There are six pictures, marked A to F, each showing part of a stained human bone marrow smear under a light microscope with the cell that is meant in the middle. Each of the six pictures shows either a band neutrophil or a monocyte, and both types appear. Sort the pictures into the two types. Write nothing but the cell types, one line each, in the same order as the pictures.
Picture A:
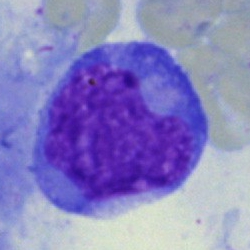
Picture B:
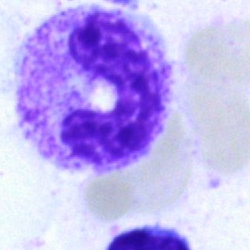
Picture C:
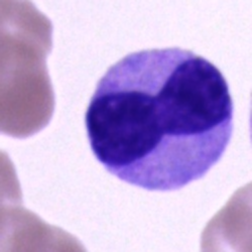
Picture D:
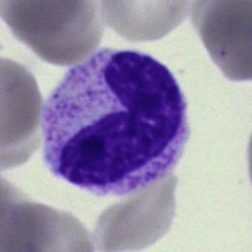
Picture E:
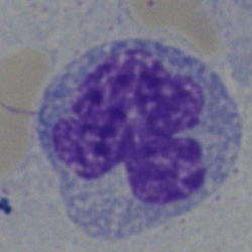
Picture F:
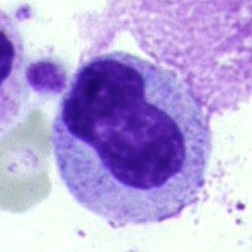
monocyte
band neutrophil
band neutrophil
band neutrophil
monocyte
band neutrophil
